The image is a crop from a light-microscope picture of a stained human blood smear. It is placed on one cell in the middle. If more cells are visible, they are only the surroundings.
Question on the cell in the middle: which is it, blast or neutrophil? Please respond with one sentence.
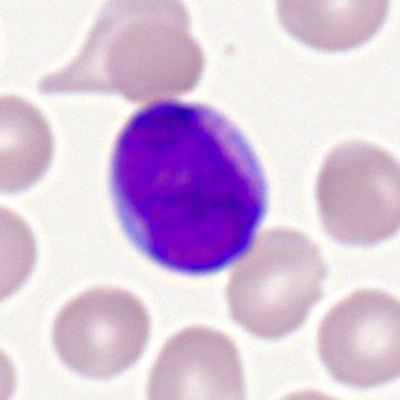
The target cell in the middle of the crop is a blast.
